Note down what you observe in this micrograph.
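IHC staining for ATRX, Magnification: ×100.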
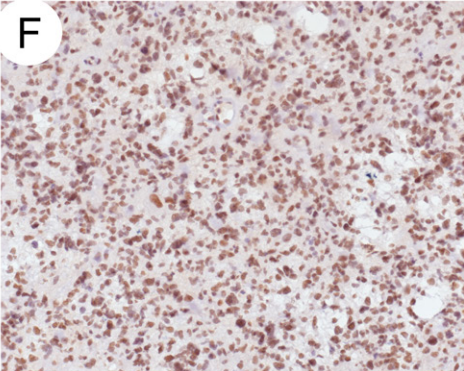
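A densely cellular glial tumor in which nearly every tumor cell nucleus is stained brown. The nuclei are crowded and somewhat irregular in shape, set in a pale pinkish background with a few clear spaces.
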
